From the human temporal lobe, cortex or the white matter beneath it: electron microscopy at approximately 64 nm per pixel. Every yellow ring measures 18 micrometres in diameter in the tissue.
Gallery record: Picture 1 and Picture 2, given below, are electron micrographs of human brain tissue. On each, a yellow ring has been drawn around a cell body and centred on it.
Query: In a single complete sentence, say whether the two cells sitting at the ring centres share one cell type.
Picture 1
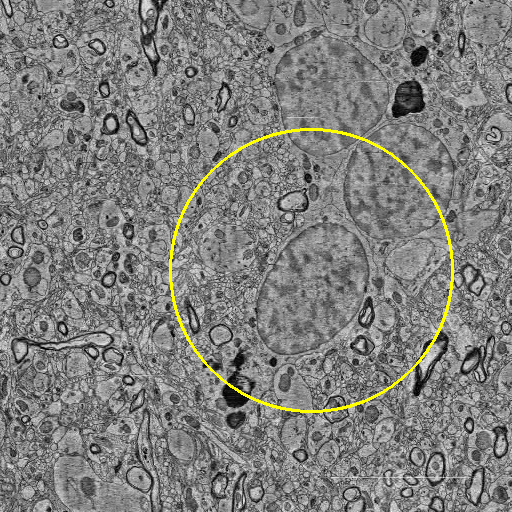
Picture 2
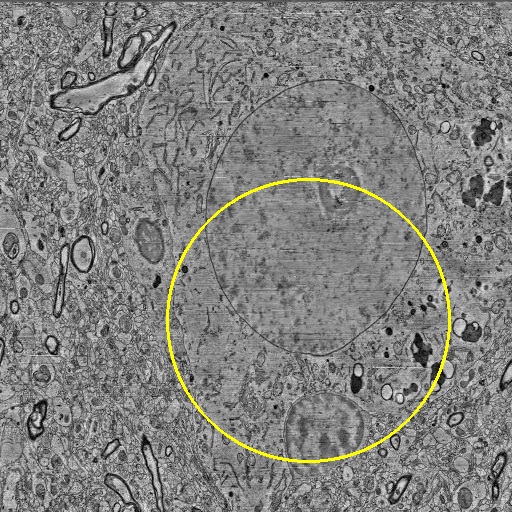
No, in the two pictures the cells at the rings' centres are of two separate types.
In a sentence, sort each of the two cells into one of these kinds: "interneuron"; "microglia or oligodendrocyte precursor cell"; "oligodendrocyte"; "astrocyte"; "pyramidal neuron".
The first of the two cells is an oligodendrocyte, and the second is a pyramidal neuron.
